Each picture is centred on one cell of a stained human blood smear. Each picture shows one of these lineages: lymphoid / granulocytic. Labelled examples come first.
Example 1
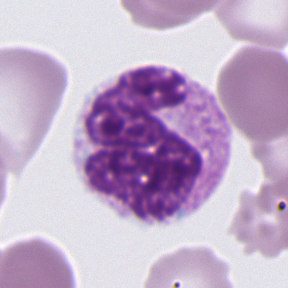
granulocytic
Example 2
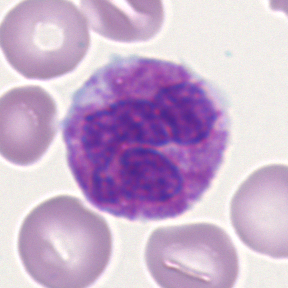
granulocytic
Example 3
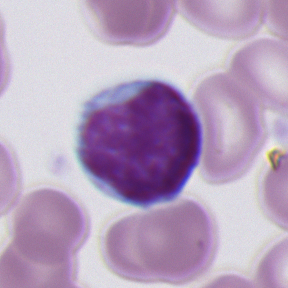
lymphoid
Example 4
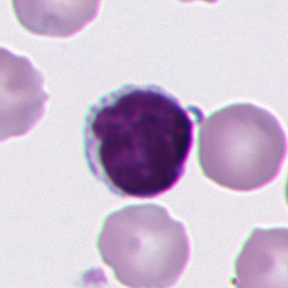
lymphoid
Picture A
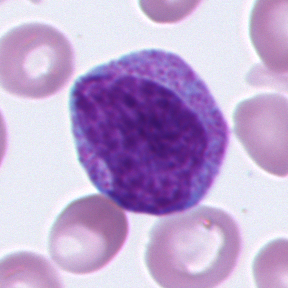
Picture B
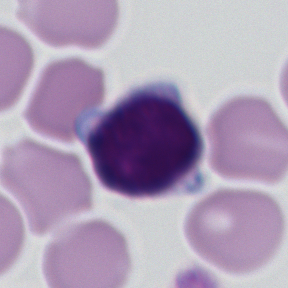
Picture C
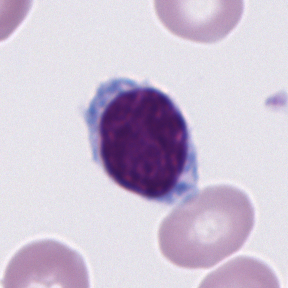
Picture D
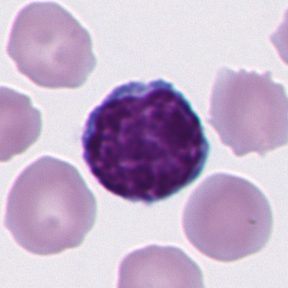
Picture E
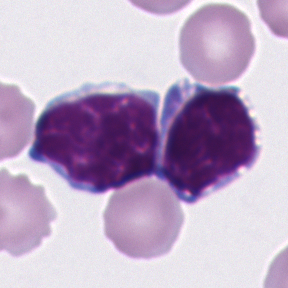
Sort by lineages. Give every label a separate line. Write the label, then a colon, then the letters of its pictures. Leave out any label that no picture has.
lymphoid: B, C, D, E
granulocytic: A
